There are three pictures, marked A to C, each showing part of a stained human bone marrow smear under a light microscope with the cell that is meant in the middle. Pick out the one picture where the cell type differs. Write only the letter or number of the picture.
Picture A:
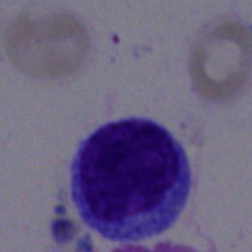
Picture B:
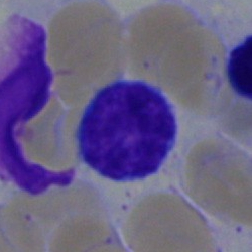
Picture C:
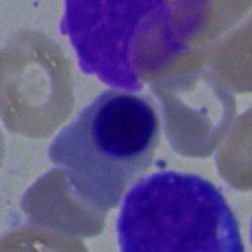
C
